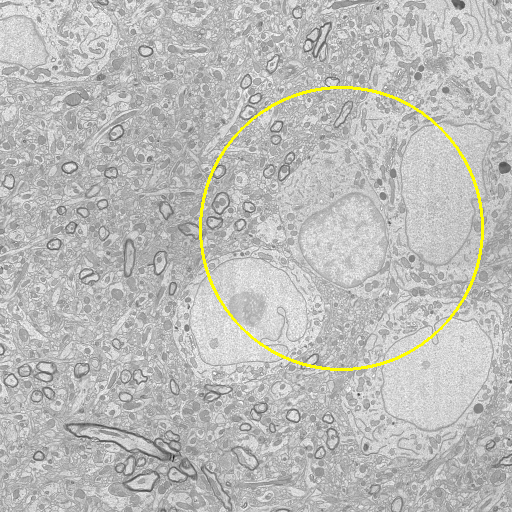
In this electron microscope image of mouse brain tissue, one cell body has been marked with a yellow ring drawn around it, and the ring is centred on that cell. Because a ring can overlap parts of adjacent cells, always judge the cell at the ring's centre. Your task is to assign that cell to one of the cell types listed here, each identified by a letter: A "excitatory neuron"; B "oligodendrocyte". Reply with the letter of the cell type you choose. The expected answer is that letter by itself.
B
